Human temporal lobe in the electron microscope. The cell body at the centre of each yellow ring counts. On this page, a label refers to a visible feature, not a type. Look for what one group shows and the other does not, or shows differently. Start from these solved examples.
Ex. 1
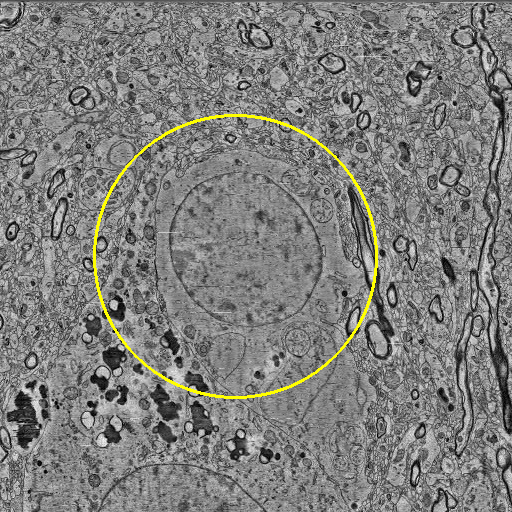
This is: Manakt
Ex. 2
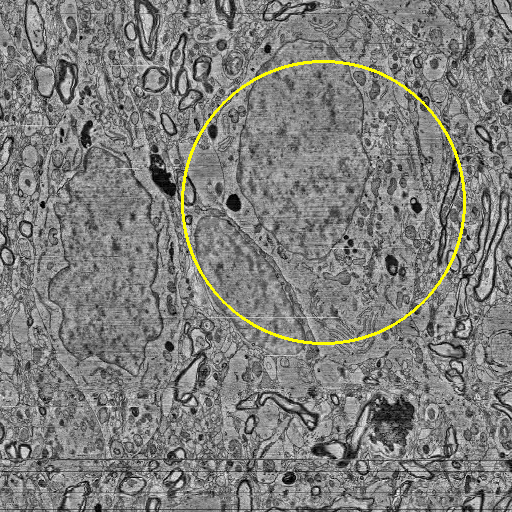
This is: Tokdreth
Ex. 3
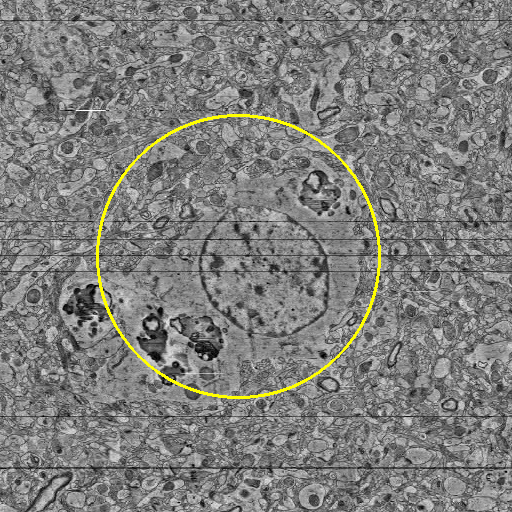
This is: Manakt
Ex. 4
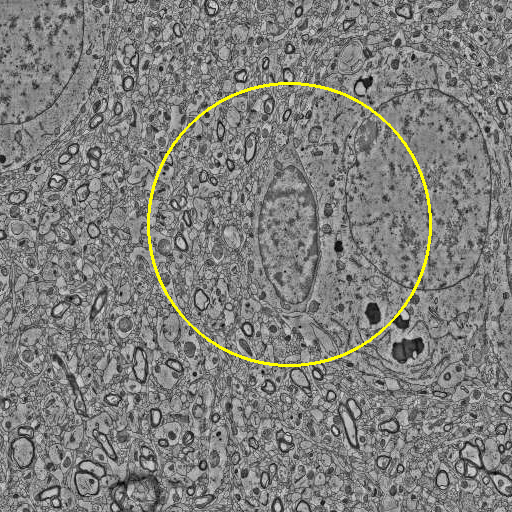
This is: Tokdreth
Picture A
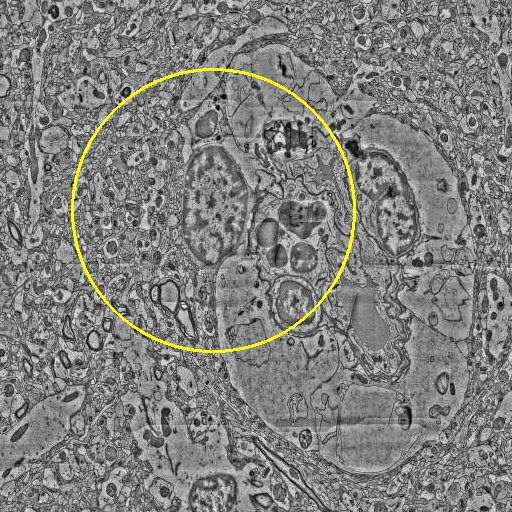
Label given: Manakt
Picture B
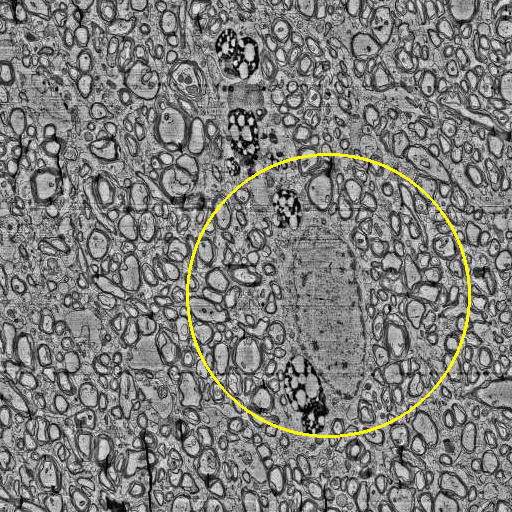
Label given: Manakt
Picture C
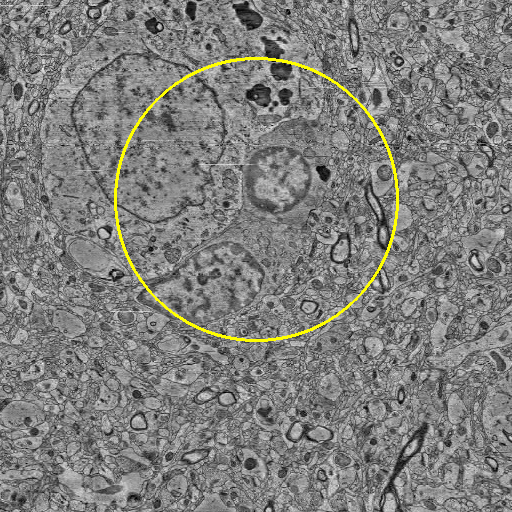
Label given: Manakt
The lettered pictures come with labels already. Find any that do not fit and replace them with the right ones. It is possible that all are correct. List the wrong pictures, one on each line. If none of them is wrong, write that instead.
A: Tokdreth, not Manakt
B: Tokdreth, not Manakt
